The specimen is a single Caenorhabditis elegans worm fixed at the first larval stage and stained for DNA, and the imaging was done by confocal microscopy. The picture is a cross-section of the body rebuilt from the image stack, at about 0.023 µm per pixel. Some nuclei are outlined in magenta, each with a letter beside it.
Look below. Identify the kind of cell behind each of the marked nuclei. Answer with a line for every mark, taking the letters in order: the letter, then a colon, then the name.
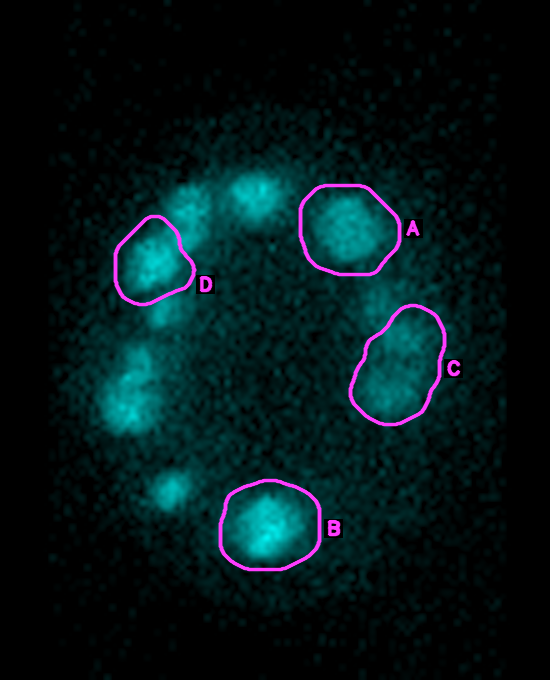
A: body wall muscle cell
B: neuron
C: seam cell
D: body wall muscle cell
